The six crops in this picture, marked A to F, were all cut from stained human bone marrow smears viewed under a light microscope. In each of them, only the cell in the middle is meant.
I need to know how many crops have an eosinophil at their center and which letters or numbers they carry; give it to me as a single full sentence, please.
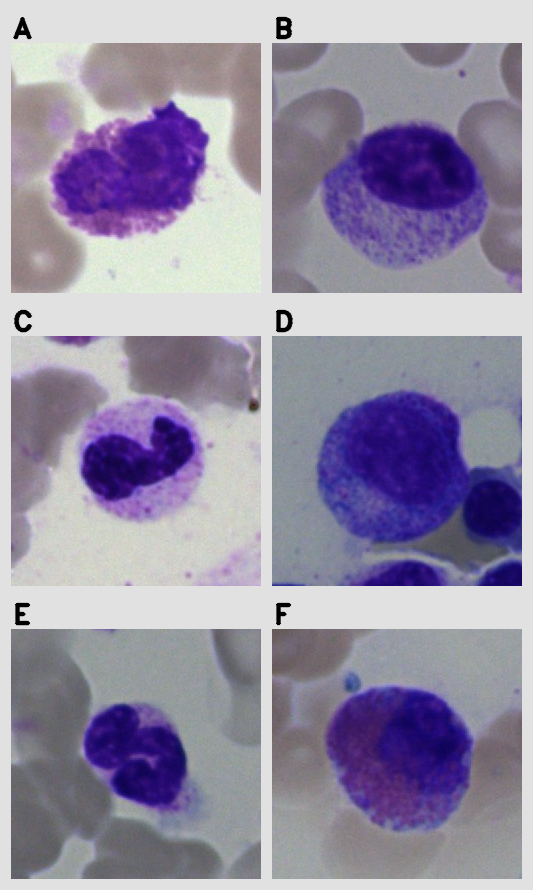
It comes to two crops with eosinophils: A and F.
